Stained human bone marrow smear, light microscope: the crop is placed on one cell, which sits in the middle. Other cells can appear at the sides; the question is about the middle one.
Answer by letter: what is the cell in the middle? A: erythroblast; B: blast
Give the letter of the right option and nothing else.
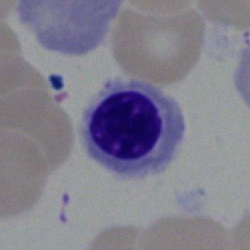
A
